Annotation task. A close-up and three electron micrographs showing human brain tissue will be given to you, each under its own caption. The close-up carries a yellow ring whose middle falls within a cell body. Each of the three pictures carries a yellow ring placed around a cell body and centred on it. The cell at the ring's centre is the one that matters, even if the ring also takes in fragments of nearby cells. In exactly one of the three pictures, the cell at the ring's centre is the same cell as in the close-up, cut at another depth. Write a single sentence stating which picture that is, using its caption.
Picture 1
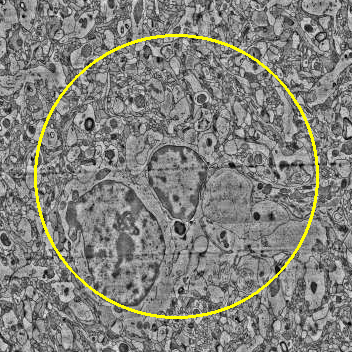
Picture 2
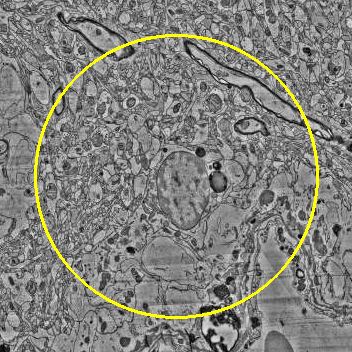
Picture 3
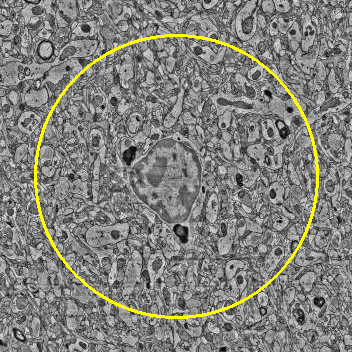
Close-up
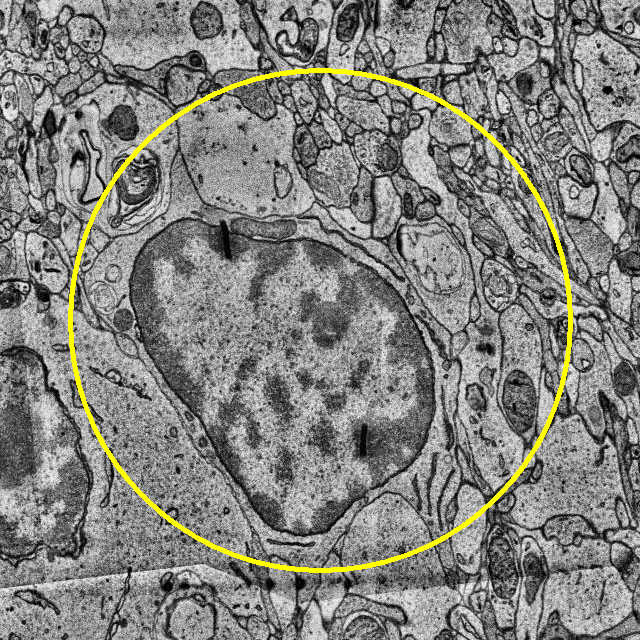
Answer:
The ringed cell whose close-up is shown lies in Picture 1.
